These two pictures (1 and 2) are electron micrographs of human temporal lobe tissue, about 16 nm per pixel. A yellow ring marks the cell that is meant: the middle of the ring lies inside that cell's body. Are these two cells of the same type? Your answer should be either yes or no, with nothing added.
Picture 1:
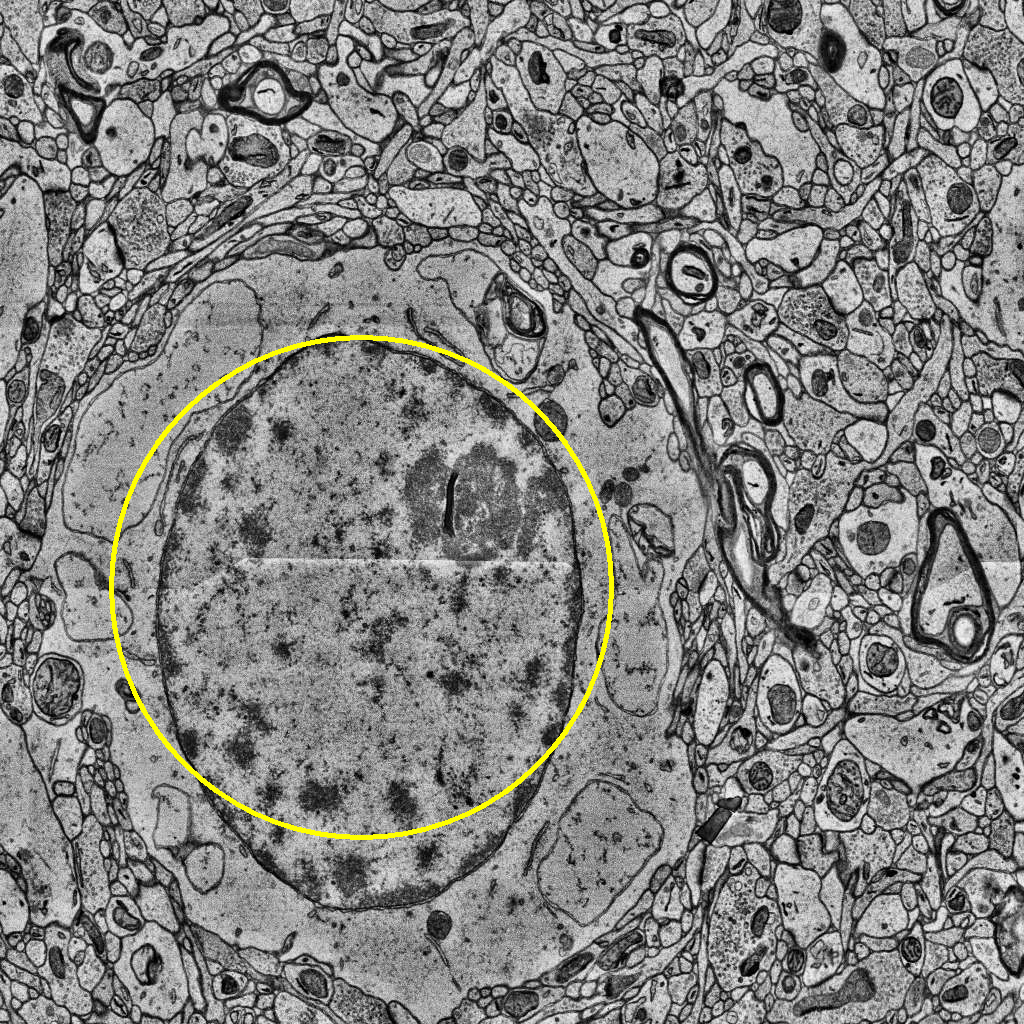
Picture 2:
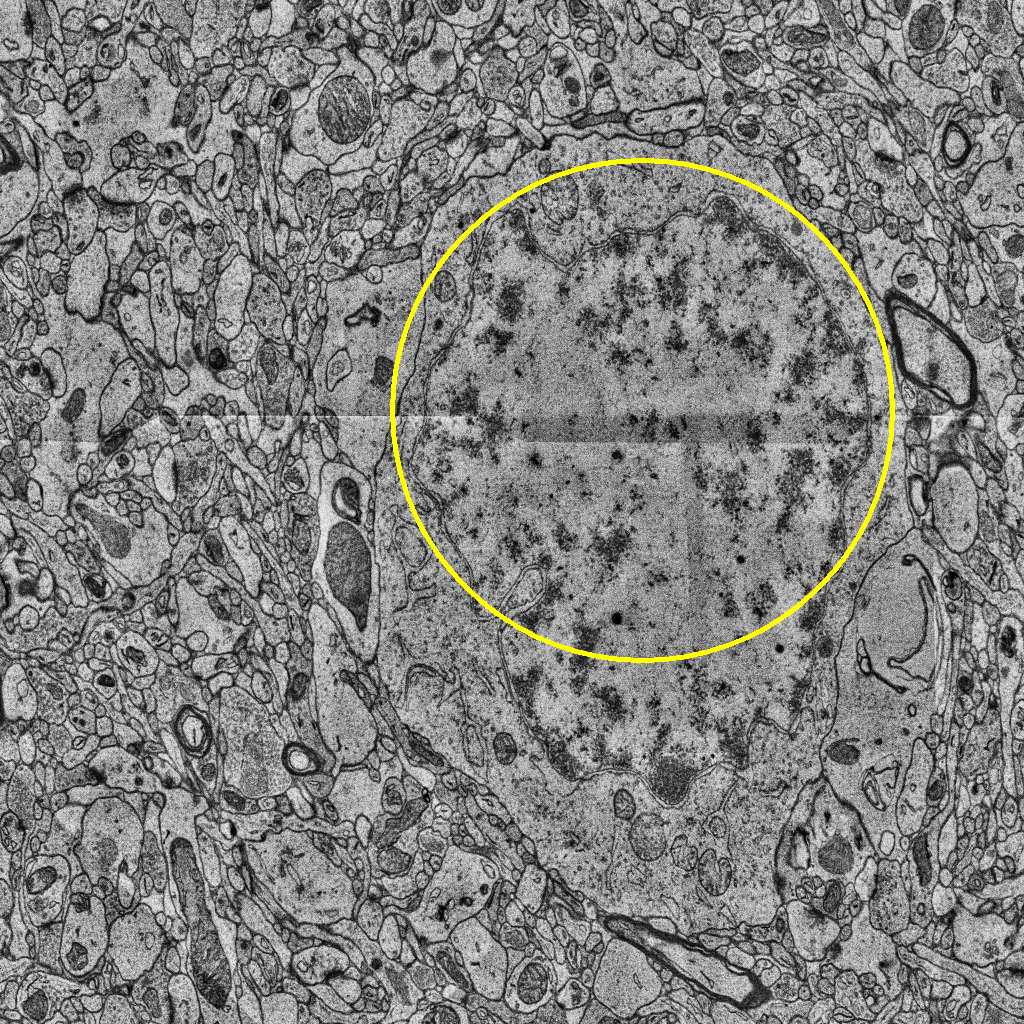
no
